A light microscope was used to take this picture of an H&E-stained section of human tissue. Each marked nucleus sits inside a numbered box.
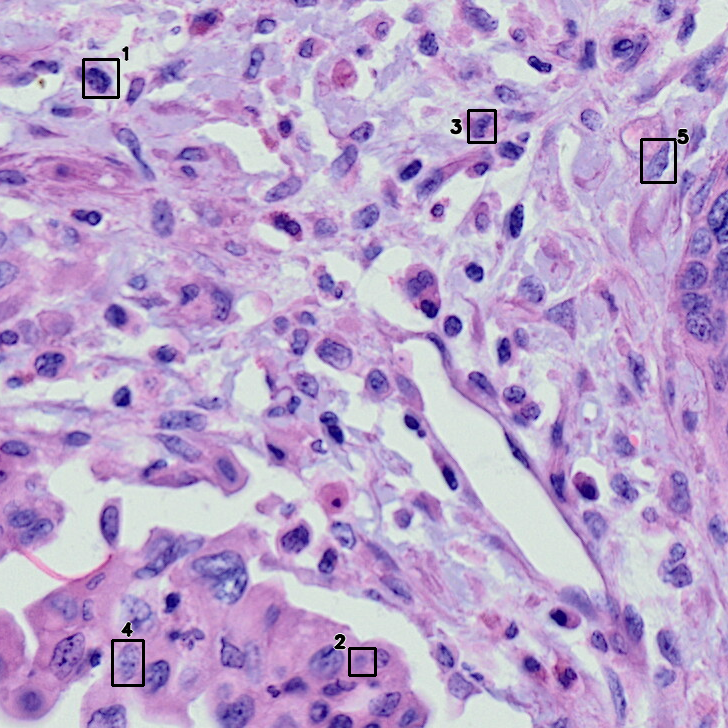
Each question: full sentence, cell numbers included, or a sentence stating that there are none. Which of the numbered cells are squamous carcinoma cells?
As for the cells numbered 2 and 4, they are squamous carcinoma cells.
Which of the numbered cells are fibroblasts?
Only the cell with the number 5 is a fibroblast.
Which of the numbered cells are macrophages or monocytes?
Response: cell 3 is a macrophage or monocyte, and no other numbered cell is.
